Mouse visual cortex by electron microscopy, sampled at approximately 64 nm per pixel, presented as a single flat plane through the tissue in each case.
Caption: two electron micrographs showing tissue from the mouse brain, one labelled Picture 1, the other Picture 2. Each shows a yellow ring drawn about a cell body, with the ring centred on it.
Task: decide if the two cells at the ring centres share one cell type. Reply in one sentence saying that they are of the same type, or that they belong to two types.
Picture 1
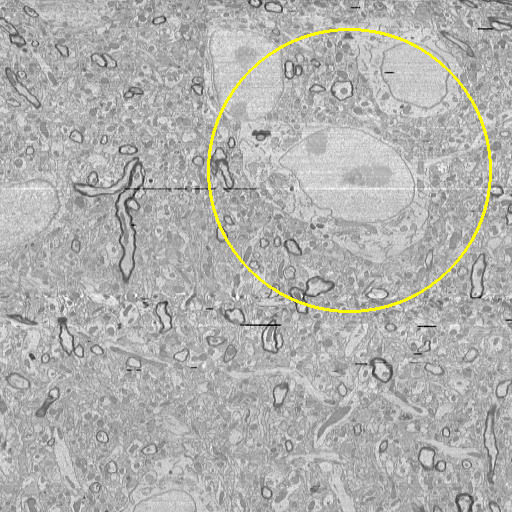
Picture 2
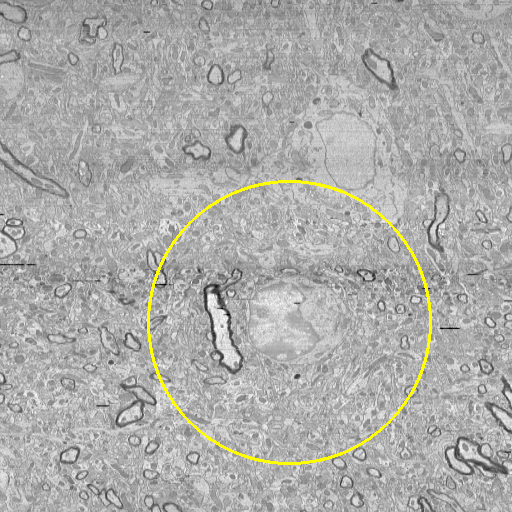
The cells at the ring centres in Picture 1 and Picture 2 belong to two types.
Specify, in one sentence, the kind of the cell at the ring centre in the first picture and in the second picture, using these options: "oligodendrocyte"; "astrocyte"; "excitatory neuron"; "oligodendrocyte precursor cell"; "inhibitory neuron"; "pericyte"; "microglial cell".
So the first is an excitatory neuron, the second an oligodendrocyte.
